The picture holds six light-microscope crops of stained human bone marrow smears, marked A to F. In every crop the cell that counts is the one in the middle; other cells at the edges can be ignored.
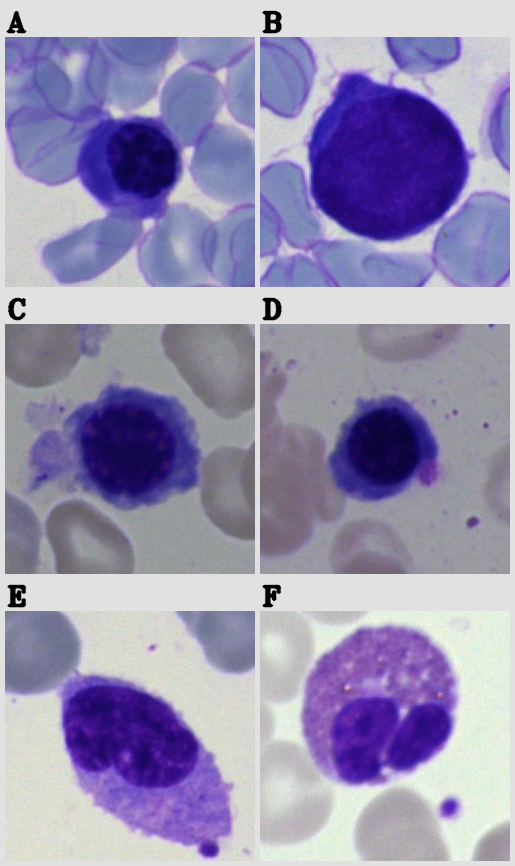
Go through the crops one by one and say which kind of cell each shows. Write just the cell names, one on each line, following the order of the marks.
erythroblast
blast
erythroblast
erythroblast
monocyte
eosinophil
